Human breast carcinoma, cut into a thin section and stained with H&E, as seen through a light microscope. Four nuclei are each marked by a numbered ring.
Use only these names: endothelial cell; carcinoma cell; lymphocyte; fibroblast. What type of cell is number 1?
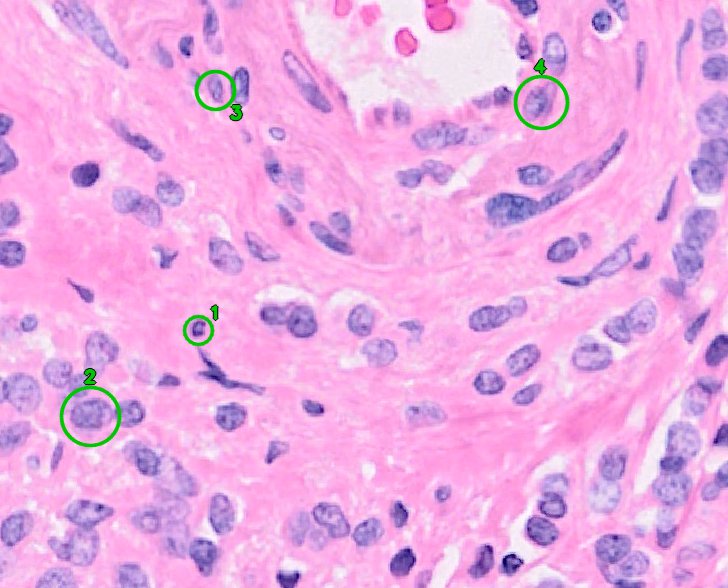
endothelial cell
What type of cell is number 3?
endothelial cell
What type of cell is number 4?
endothelial cell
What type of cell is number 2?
carcinoma cell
